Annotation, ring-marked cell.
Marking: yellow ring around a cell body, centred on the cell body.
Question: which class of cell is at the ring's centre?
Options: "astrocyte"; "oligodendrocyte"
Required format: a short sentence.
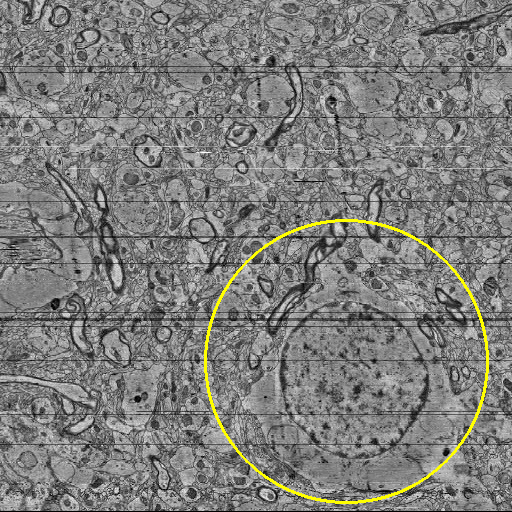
At the ring's centre is an astrocyte.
